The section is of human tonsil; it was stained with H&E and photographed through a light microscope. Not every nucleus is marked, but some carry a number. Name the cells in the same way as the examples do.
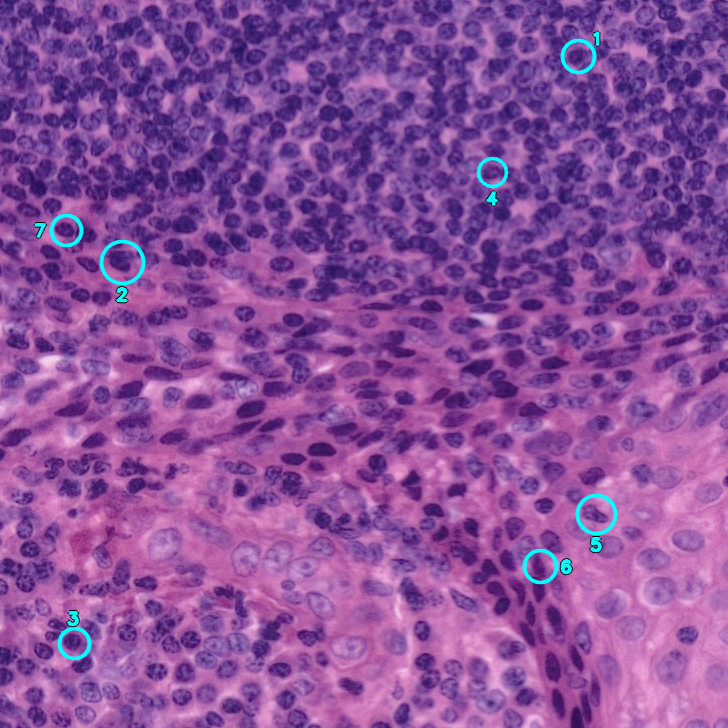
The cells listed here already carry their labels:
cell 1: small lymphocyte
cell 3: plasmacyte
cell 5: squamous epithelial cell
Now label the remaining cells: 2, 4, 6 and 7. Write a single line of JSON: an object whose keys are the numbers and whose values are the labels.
{"2": "plasmacyte", "4": "small lymphocyte", "6": "squamous epithelial cell", "7": "plasmacyte"}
